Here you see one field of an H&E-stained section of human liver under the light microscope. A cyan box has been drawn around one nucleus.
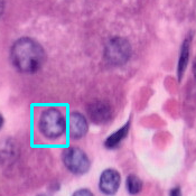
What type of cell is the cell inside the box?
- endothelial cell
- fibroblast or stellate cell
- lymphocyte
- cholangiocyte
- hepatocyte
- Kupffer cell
cholangiocyte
